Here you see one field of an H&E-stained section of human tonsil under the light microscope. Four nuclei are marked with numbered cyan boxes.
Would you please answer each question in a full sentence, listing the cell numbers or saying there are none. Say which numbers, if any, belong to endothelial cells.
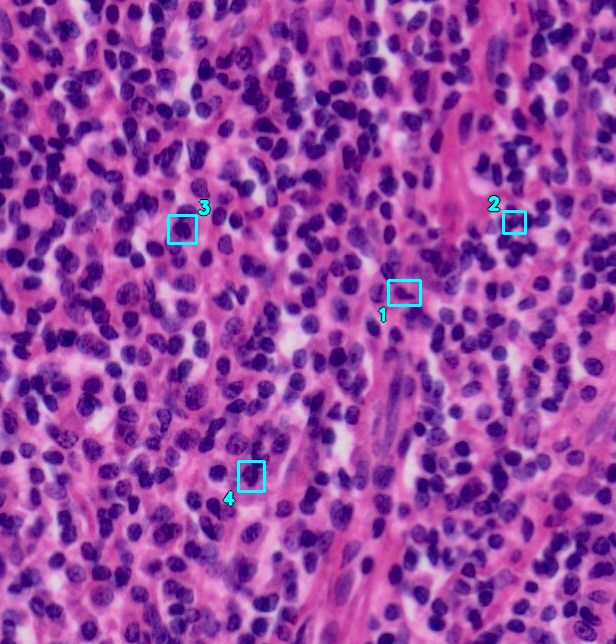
The numbered cell that is an endothelial cell is cell 1, and it is the only one.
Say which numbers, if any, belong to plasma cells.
The cells with the numbers 3 and 4 are plasma cells.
